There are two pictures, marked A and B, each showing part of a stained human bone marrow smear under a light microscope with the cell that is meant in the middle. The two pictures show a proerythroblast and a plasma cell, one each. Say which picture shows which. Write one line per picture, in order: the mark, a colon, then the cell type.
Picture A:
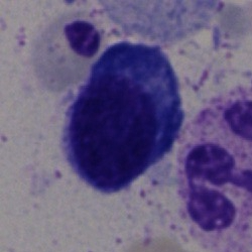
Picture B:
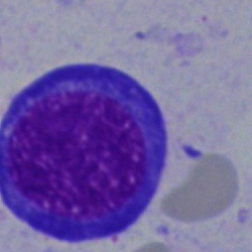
A: plasma cell
B: proerythroblast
